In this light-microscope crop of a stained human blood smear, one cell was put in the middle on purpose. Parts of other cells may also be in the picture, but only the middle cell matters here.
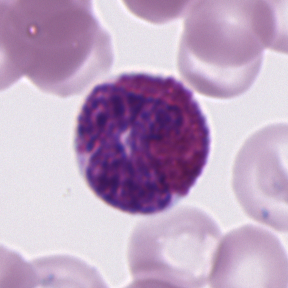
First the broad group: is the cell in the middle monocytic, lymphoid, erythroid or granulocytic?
granulocytic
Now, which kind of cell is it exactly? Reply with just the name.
eosinophil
